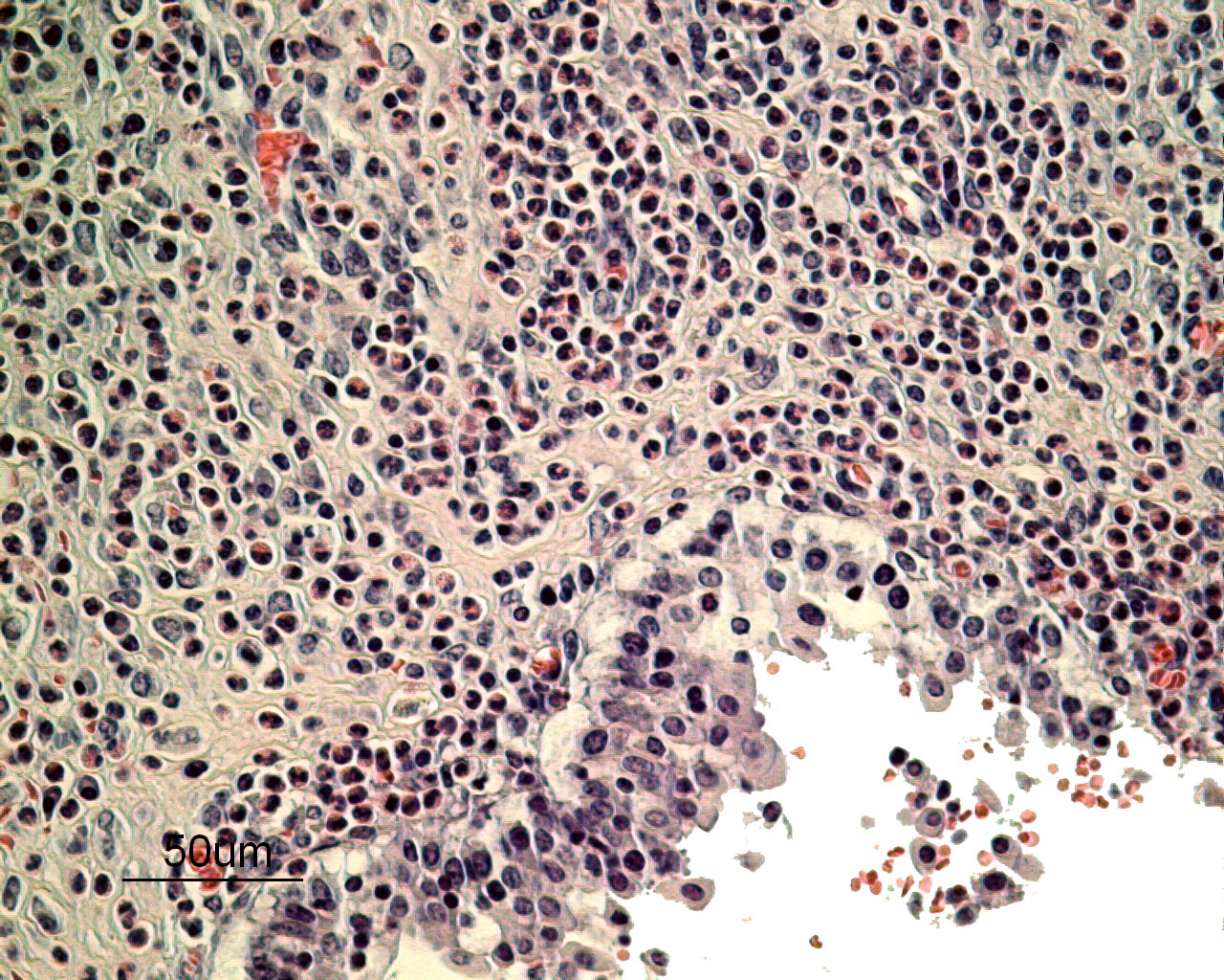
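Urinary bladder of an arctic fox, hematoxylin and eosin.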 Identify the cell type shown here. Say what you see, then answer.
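Densely packed round cells fill the stroma. Many of these cells have bright red-orange cytoplasm around a dark, compact nucleus.
Hence: eosinophils.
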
